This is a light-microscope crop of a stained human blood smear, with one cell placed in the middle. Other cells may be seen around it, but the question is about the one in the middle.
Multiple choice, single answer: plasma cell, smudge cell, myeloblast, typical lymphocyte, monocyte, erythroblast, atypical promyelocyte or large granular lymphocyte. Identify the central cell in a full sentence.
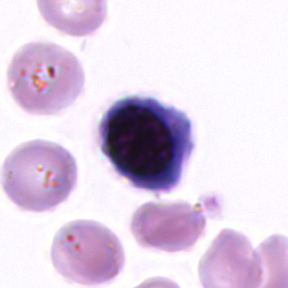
This particular crop is centered on an erythroblast.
